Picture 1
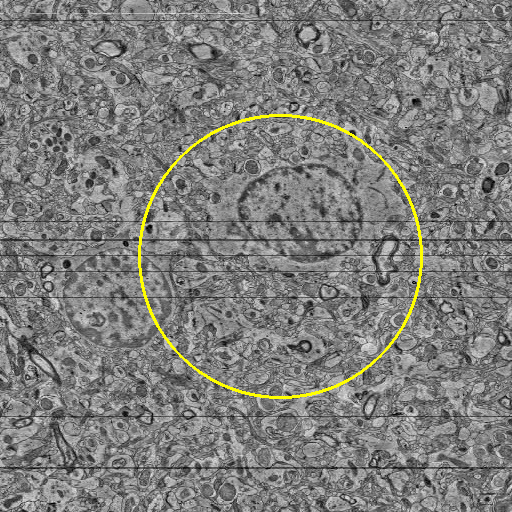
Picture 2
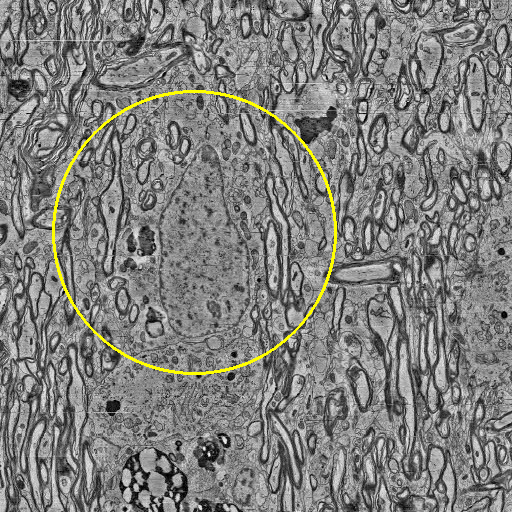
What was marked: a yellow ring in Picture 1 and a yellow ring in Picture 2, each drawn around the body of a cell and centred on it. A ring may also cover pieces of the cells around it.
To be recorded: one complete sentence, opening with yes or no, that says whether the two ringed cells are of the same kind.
Yes, the two ringed cells are of the same kind.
